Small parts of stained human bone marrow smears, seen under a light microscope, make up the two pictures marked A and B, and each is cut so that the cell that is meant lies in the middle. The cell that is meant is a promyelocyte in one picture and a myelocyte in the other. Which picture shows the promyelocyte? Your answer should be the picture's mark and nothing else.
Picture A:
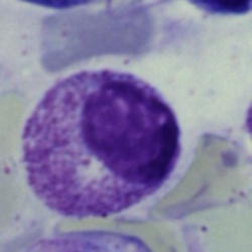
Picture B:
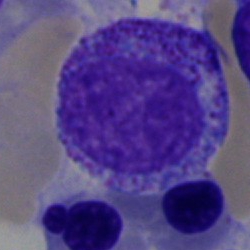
B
